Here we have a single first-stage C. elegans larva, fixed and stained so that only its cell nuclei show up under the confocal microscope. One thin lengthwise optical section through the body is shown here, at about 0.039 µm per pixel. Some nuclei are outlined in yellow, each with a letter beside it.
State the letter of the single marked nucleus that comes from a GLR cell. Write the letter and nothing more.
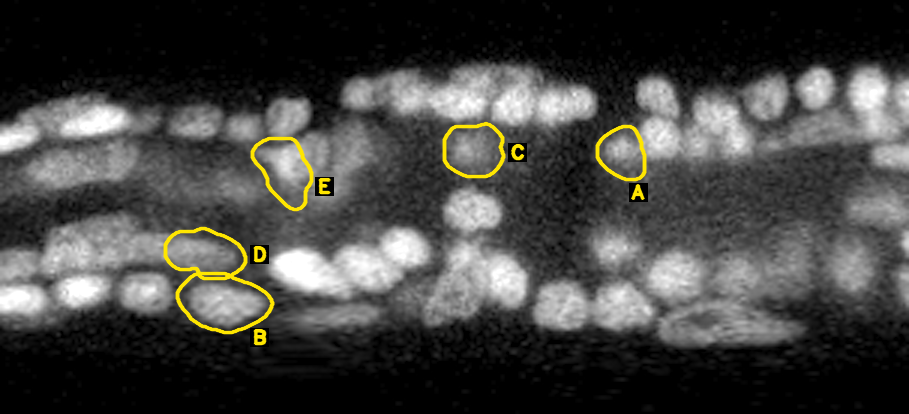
A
